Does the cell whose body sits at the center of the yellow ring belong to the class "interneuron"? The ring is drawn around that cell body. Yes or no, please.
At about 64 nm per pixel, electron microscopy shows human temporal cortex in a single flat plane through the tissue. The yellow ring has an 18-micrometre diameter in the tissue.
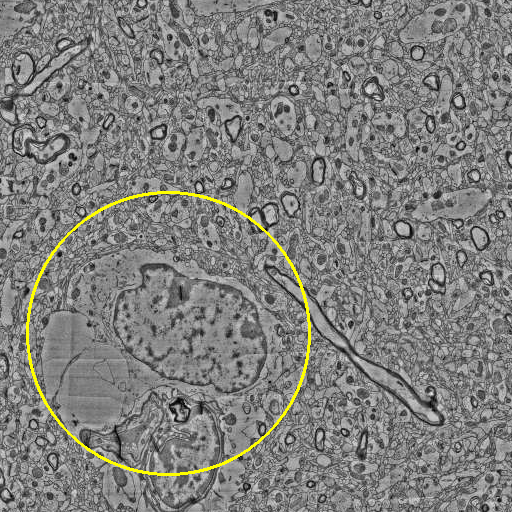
No, it belongs to another class.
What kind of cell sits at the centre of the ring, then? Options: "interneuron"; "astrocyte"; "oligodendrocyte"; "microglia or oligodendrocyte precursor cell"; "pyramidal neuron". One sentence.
That cell in the ring is a microglial cell or oligodendrocyte precursor cell instead.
